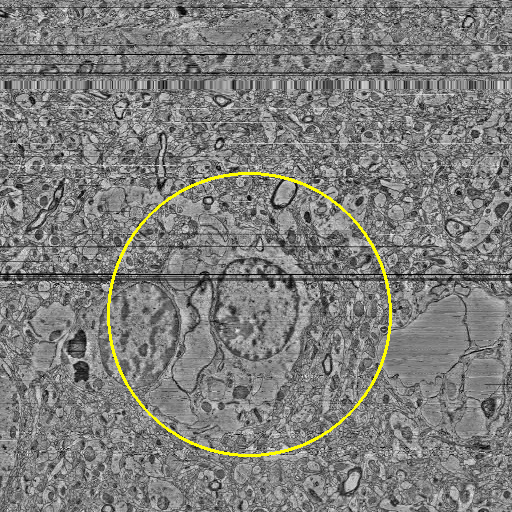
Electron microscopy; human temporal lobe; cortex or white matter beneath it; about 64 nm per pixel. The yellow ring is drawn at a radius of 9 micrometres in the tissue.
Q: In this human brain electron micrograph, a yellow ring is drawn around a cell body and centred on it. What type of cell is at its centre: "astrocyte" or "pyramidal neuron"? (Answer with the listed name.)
astrocyte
